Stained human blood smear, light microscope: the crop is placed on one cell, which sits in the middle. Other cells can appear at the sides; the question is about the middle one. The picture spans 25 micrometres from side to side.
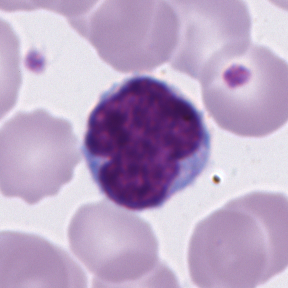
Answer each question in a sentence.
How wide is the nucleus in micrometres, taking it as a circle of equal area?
About 10 micrometres: that is the diameter of the nucleus.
